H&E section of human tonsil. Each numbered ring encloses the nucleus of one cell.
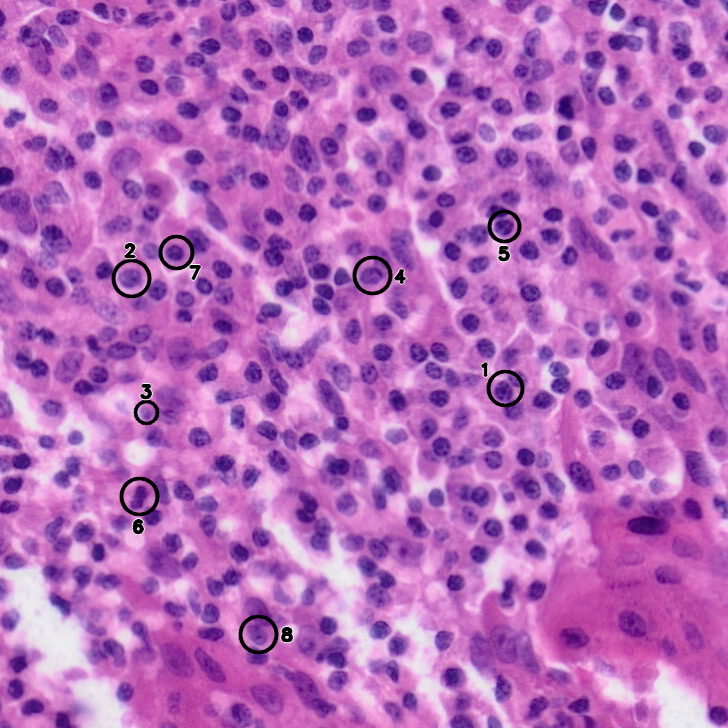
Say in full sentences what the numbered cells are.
Cell 1 is a plasma cell, cell 2 is a plasma cell, cell 3 is a squamous epithelial cell, cell 4 is a plasma cell, cell 5 is a plasma cell, cell 6 is a squamous epithelial cell, cell 7 is a plasma cell and cell 8 is a squamous epithelial cell.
